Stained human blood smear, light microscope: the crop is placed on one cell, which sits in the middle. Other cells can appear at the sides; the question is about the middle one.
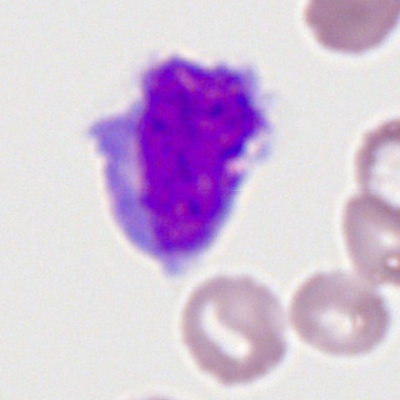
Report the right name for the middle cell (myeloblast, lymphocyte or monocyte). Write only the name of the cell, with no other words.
monocyte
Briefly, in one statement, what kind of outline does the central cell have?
An irregular outline, ragged or marked by projections, surrounds this cell.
